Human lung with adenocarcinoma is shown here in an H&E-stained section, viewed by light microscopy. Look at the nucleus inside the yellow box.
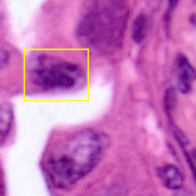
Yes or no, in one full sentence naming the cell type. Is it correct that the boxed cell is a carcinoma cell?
Yes, a carcinoma cell is the identity of the boxed cell in this section.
